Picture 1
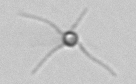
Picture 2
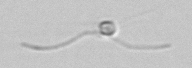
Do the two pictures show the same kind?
Yes, both are Ophiaster.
